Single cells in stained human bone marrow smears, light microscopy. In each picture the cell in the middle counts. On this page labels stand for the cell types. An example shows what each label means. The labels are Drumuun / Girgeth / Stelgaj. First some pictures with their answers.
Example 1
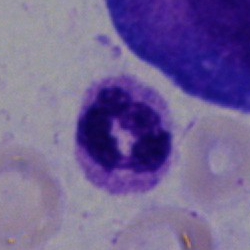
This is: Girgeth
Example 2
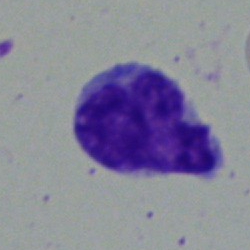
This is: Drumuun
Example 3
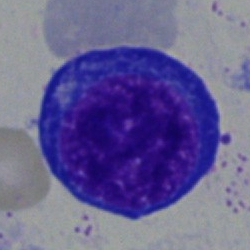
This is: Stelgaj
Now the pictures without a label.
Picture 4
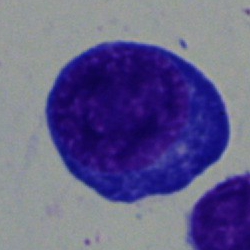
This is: Stelgaj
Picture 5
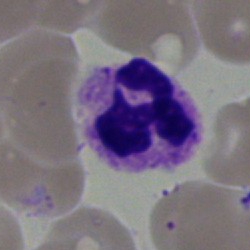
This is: Girgeth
